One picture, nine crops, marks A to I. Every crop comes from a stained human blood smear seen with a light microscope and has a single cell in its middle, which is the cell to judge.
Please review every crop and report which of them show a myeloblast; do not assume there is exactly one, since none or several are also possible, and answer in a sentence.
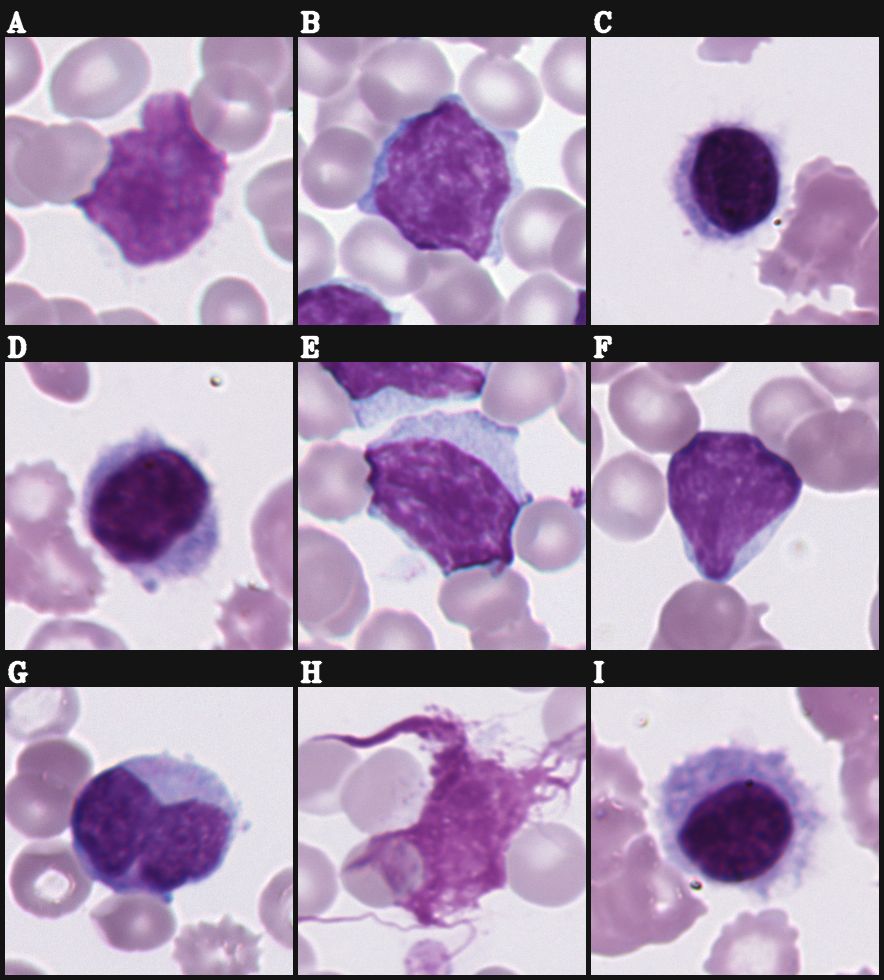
With the exception of crop F, the crops do not show a myeloblast.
